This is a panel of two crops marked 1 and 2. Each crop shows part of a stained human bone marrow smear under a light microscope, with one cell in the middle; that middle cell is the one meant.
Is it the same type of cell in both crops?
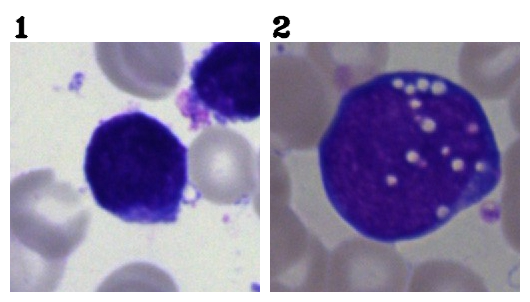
yes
